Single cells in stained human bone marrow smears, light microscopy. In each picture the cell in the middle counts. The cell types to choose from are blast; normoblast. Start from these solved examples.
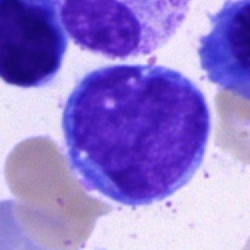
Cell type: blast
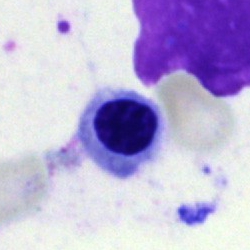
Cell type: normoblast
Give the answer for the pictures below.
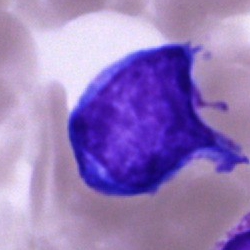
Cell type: blast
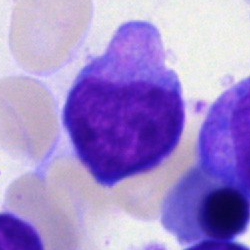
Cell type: blast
